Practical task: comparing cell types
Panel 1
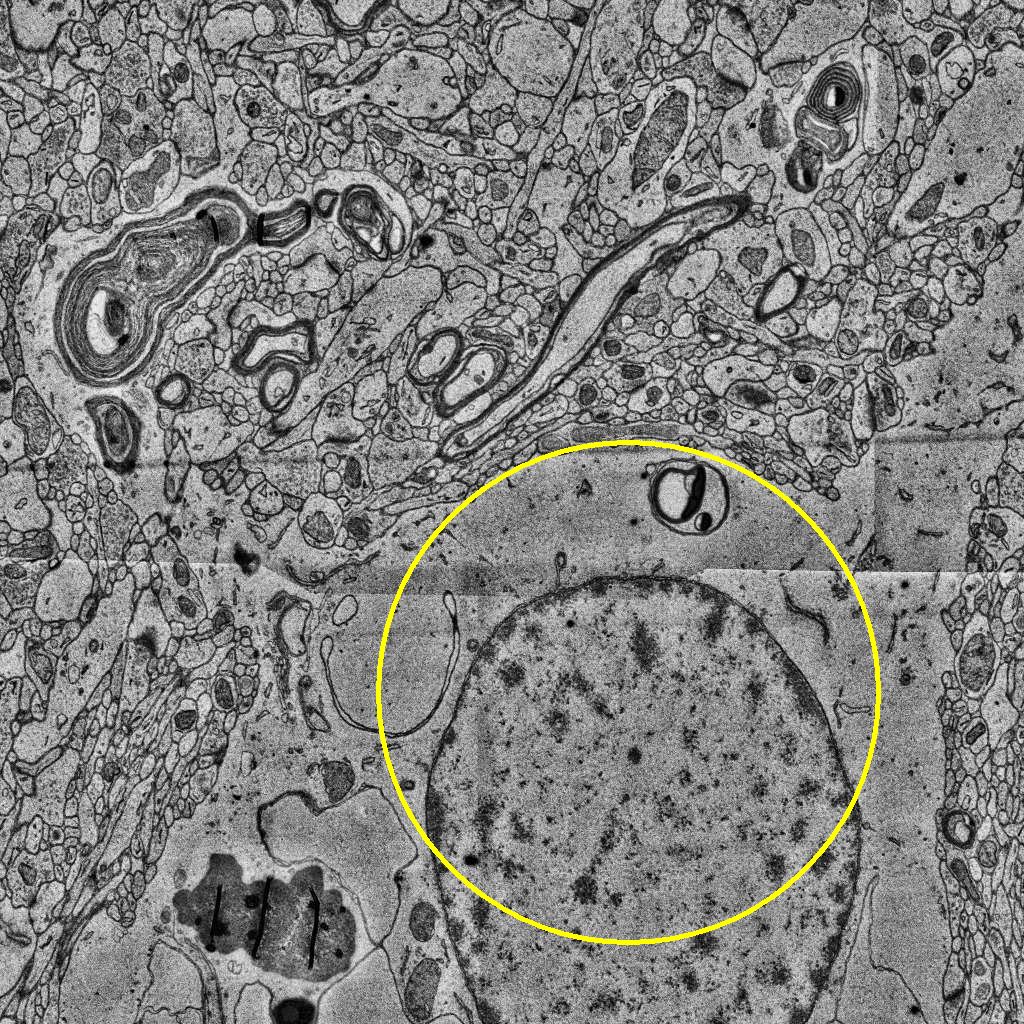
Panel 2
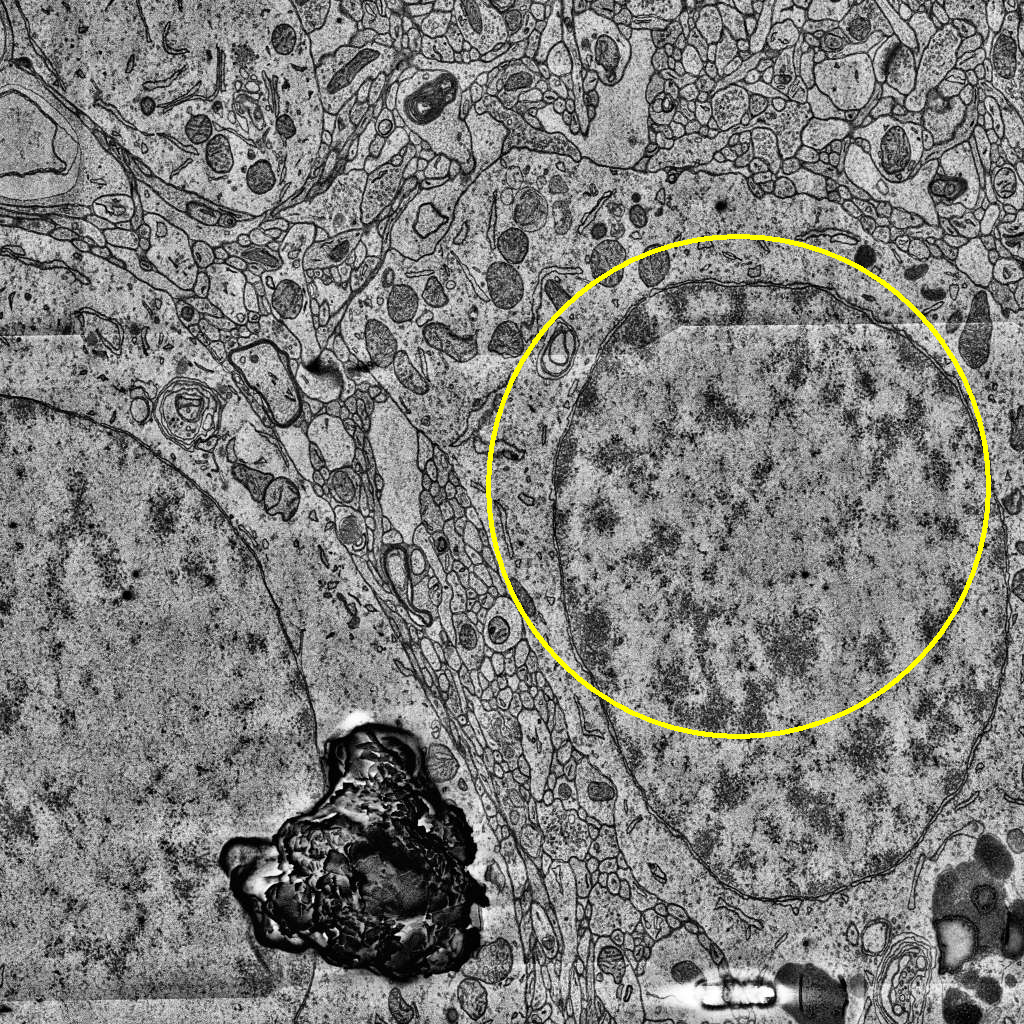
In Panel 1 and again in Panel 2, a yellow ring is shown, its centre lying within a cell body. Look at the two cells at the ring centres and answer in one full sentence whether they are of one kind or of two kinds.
The two cells sitting at the ring centres of Panels 1 and 2 are of two kinds.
